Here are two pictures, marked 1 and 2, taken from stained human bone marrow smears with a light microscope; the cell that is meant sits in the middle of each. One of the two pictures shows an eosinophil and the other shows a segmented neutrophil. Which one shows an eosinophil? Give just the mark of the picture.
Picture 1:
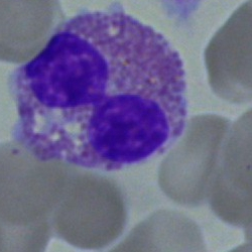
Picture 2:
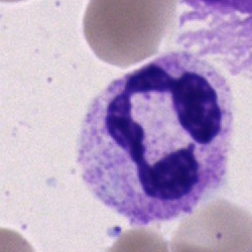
1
